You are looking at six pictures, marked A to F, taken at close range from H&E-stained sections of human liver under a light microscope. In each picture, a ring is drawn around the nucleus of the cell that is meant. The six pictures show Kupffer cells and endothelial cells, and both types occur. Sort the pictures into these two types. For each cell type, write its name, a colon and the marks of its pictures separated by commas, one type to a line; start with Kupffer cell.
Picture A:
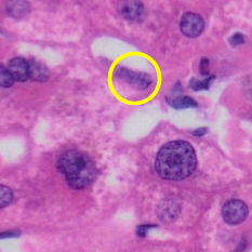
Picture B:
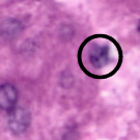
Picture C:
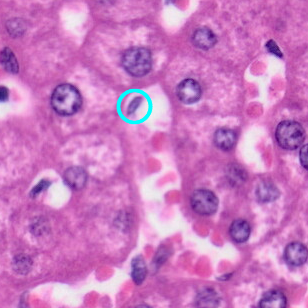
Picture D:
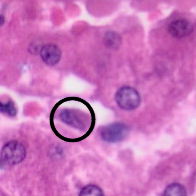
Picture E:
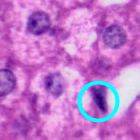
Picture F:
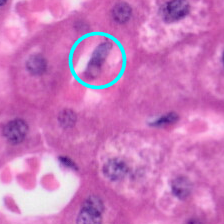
Kupffer cell: A, D, F
endothelial cell: B, C, E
